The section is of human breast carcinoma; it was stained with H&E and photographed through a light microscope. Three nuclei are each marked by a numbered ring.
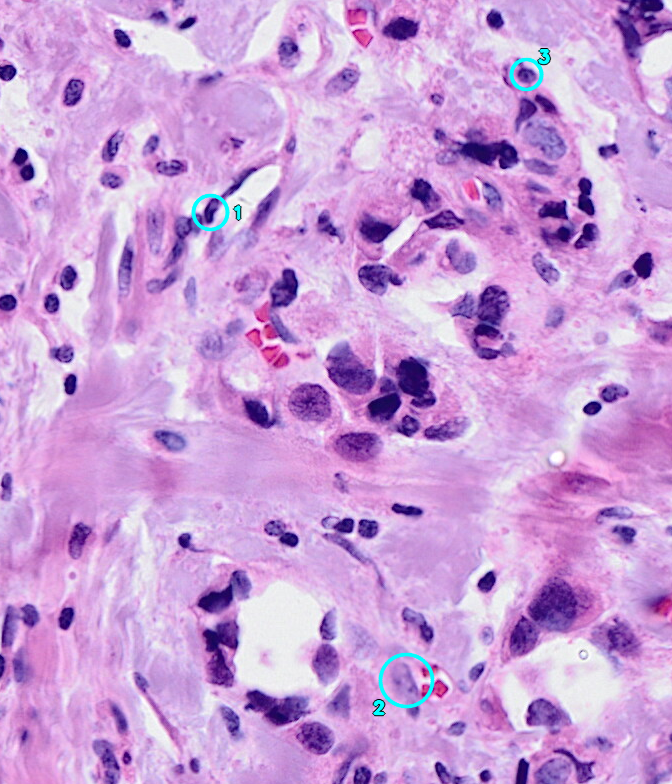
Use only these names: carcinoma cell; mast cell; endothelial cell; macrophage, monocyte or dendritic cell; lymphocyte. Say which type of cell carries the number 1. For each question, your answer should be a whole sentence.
The nucleus labeled 1 belongs to a lymphocyte.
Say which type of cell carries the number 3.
Cell 3, among those numbered, is a lymphocyte.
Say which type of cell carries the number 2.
The cell indicated with the number 2 is classed as an endothelial cell.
